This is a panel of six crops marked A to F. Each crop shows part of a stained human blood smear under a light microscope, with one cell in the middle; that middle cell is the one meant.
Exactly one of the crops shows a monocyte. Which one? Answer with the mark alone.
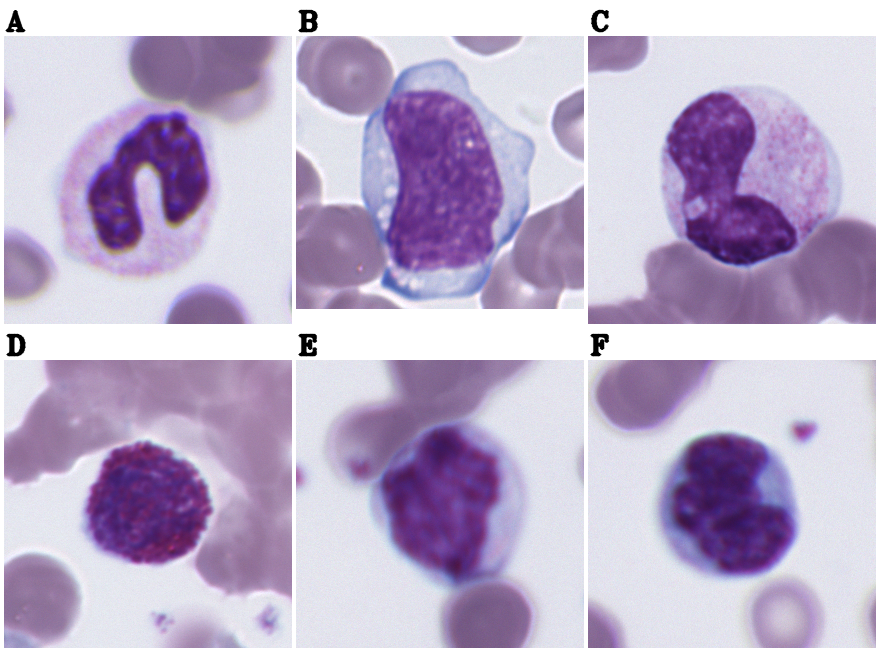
F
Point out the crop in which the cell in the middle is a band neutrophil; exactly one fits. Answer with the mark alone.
C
